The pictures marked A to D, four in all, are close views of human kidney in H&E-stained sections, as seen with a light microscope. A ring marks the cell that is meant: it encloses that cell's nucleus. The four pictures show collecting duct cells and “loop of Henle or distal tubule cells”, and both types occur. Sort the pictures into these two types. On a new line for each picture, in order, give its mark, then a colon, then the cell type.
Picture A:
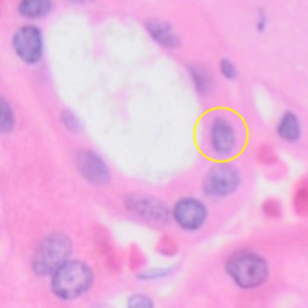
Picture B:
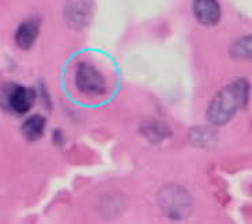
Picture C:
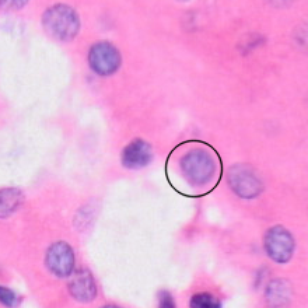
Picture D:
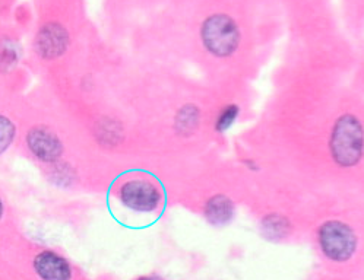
A: collecting duct cell
B: loop of Henle or distal tubule cell
C: loop of Henle or distal tubule cell
D: loop of Henle or distal tubule cell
